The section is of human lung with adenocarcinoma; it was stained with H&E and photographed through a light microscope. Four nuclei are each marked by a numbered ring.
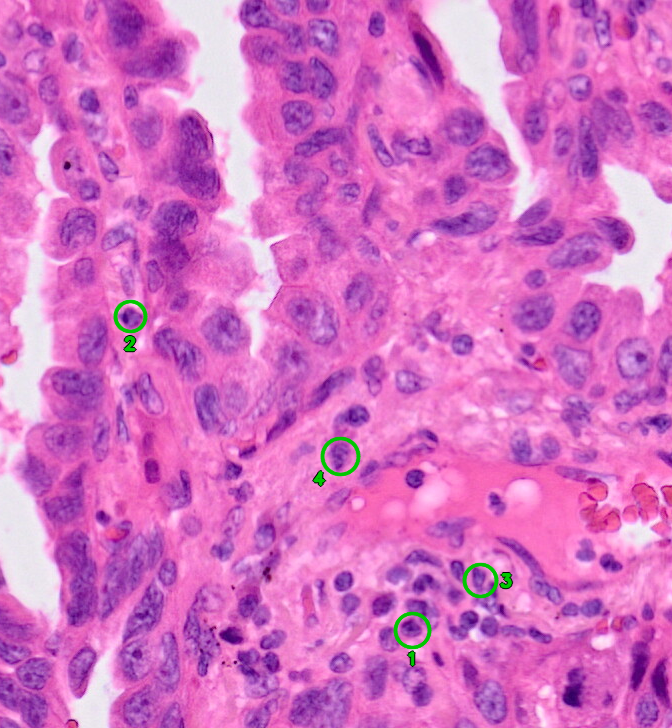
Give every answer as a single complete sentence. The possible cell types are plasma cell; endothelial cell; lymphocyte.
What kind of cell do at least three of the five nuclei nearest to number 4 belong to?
The majority of the five nuclei closest to number 4 belong to endothelial cells.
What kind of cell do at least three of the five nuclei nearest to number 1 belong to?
Around number 1, most of the five nearest nuclei are those of lymphocytes.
